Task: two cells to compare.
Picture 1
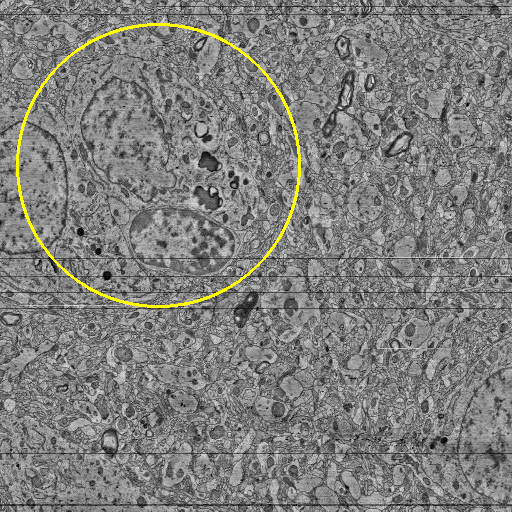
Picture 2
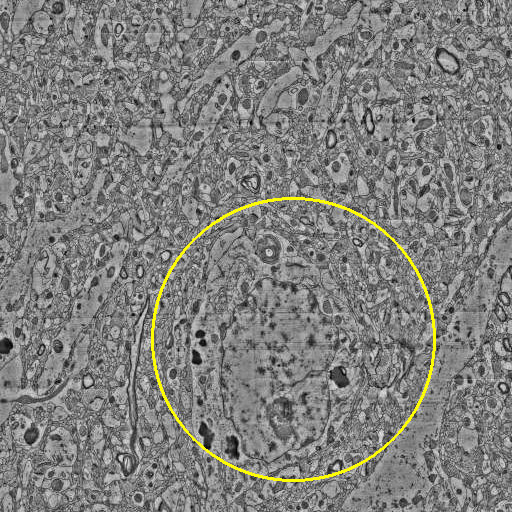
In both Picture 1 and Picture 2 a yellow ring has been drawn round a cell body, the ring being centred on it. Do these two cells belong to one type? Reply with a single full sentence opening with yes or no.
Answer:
Yes, the two cells at the ring centres in Picture 1 and Picture 2 share one type.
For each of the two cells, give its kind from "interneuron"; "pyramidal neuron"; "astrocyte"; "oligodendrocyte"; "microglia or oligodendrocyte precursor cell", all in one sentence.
In both pictures the ring is centred on an interneuron.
